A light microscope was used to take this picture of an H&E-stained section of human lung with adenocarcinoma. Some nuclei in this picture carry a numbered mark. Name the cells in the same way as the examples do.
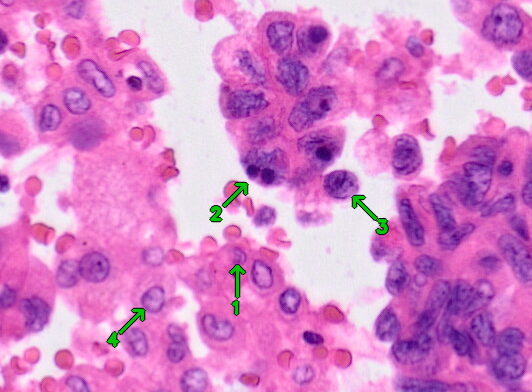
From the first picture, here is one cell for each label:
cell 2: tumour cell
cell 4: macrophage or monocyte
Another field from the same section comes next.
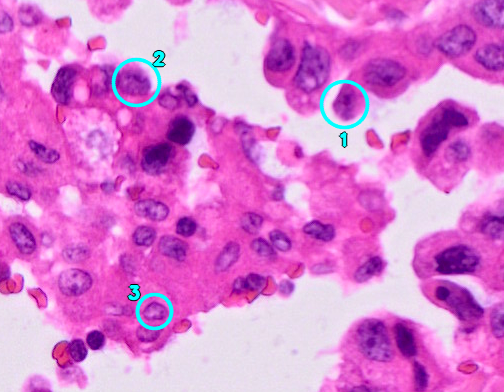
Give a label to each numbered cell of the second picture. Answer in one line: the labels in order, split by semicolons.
tumour cell; tumour cell; macrophage or monocyte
